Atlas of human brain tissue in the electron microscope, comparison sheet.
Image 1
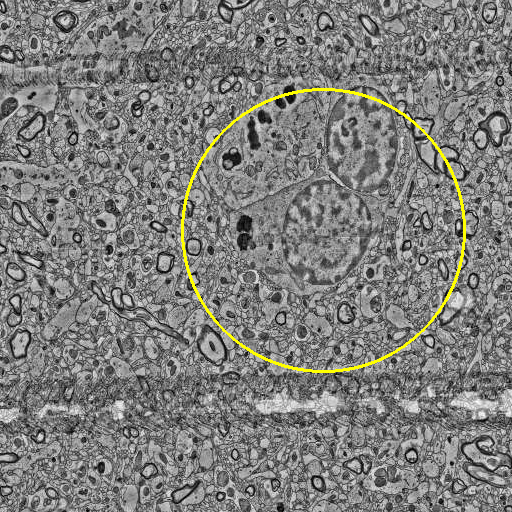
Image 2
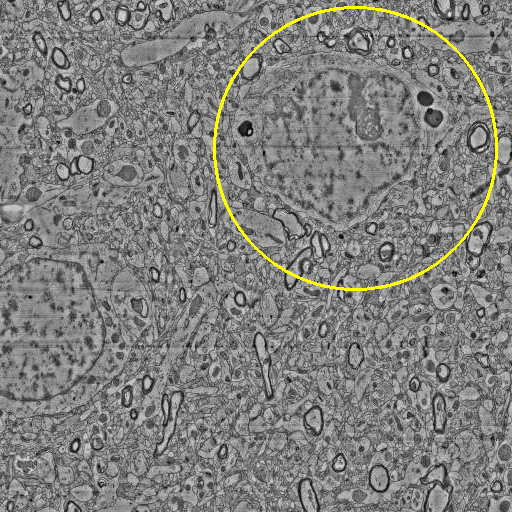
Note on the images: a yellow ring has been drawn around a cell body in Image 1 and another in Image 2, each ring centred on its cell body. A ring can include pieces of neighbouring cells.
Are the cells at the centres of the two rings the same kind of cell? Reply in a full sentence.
No, the two cells are of two kinds.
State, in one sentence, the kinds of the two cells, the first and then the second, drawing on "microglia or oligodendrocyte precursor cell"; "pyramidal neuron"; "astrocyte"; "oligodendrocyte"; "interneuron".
The ring in the second picture is centred on an interneuron, the ring in the first on an oligodendrocyte.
